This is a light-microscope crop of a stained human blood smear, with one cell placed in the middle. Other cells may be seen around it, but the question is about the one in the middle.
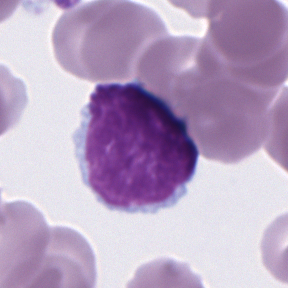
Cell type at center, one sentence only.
The cell shown in the center of this light-microscope crop is a typical lymphocyte.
